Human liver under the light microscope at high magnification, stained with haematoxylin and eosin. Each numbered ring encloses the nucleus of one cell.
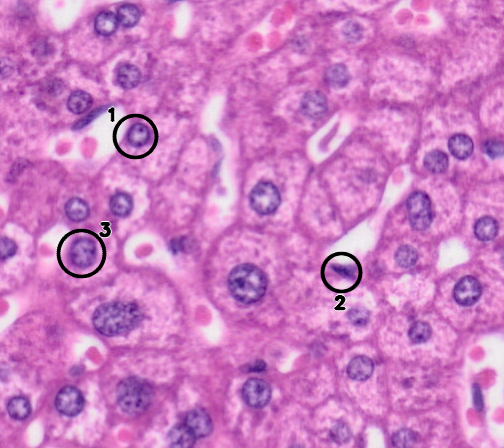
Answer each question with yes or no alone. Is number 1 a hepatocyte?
yes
